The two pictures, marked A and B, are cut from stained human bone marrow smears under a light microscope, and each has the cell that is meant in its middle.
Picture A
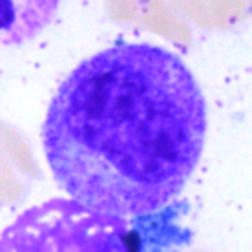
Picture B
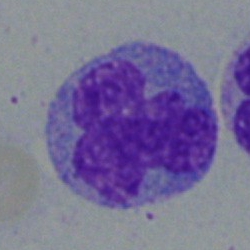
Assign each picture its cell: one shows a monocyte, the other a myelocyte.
A: myelocyte
B: monocyte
